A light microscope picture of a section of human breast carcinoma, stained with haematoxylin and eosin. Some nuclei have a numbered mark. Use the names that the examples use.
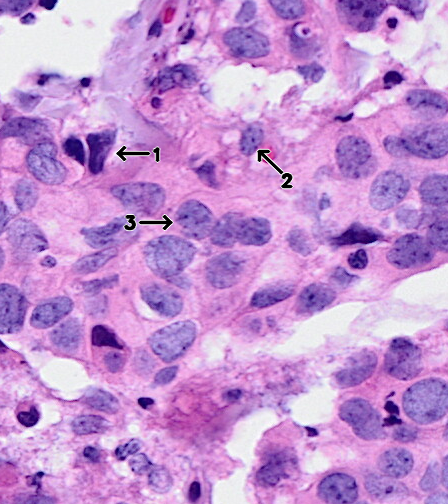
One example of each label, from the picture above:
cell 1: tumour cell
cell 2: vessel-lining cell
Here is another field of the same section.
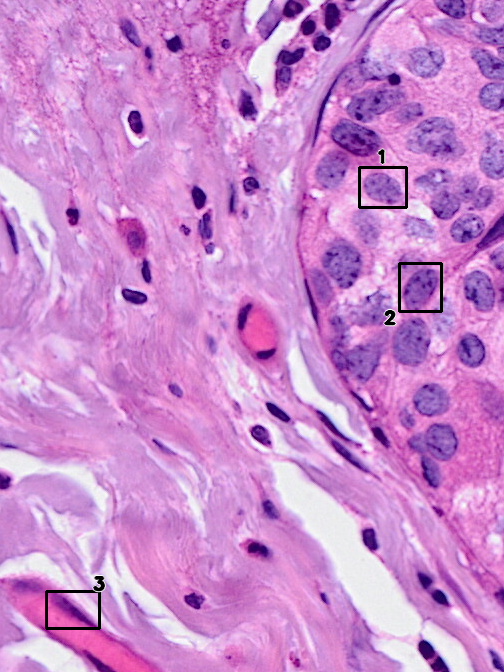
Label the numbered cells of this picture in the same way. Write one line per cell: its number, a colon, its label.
1: tumour cell
2: tumour cell
3: vessel-lining cell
